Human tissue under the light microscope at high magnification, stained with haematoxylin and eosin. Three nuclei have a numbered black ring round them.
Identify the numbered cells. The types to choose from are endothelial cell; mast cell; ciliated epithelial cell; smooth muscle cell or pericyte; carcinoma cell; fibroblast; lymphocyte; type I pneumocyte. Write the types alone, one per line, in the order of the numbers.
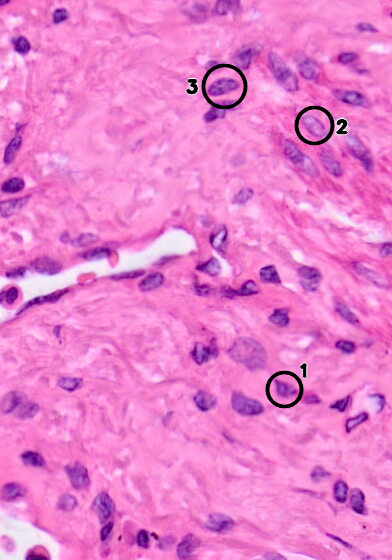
mast cell
smooth muscle cell or pericyte
mast cell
